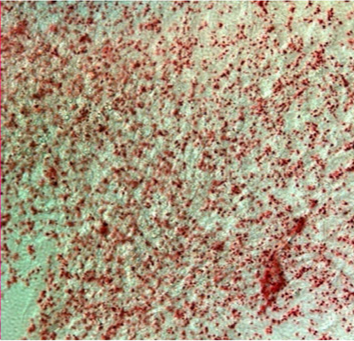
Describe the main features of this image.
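A confluent layer of cultured cells in which many cells have become lipid-containing adipocytes. Numerous small dark red droplets, often grouped together, are scattered densely over the pale greyish cell layer, with fewer droplets towards the lower left.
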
